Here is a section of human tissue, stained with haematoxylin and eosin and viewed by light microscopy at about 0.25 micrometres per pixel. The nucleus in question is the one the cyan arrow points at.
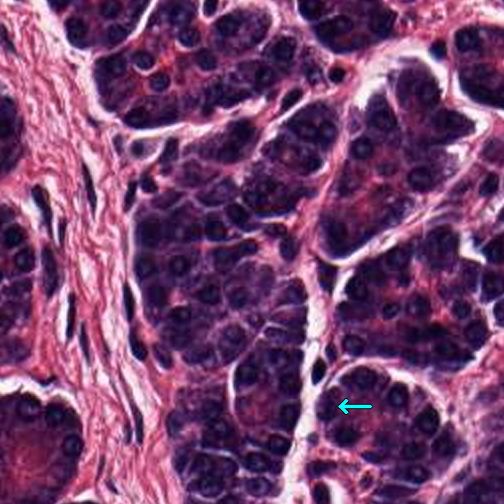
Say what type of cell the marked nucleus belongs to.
pancreatic acinar cell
